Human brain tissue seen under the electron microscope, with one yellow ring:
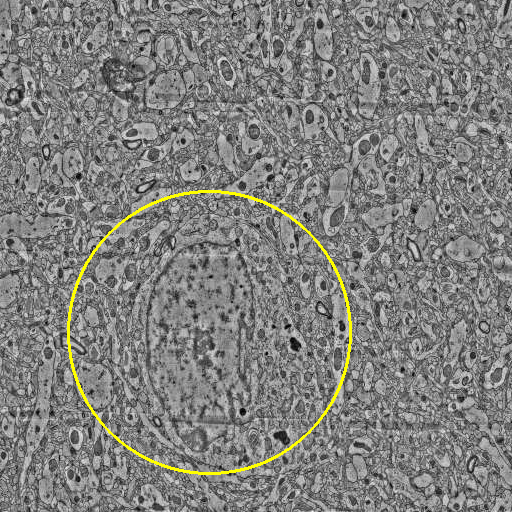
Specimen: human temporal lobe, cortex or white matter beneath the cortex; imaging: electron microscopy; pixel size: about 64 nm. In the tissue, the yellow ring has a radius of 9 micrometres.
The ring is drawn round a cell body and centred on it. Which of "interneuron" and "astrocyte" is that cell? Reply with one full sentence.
The picture shows an interneuron at the very centre of the yellow ring.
